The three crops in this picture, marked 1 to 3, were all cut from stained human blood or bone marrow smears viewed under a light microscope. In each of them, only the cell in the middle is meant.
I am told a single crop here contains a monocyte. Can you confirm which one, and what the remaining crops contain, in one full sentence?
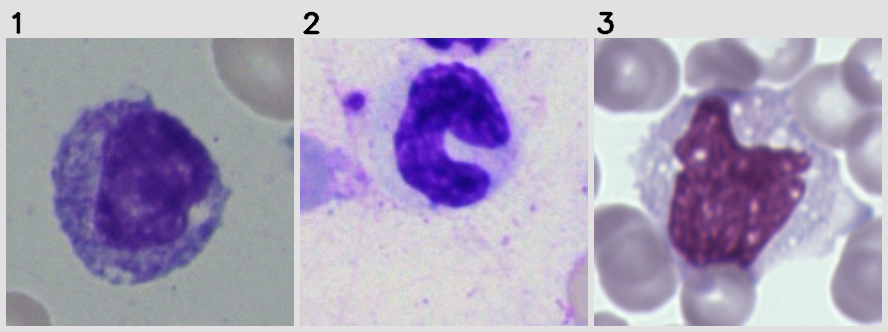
In crop 3, a monocyte is the cell shown, while crop 1 is a myelocyte and crop 2 is a band neutrophil.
